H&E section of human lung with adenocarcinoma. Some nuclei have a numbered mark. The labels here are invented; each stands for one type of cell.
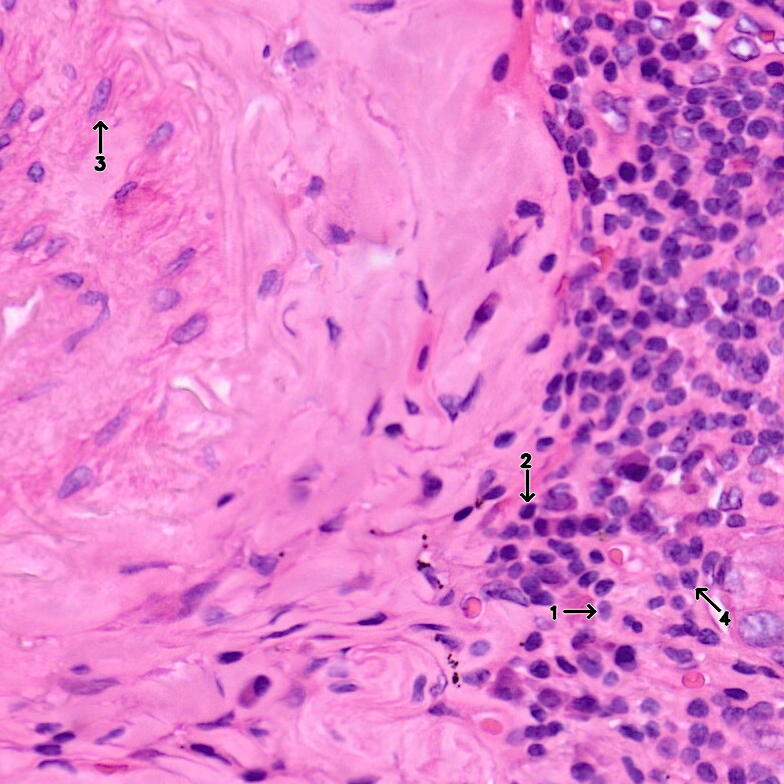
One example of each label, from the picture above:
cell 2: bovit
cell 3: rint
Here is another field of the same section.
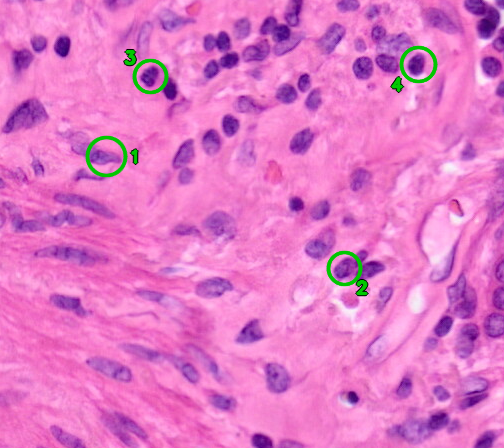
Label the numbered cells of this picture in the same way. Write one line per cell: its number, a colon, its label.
1: rint
2: bovit
3: bovit
4: bovit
